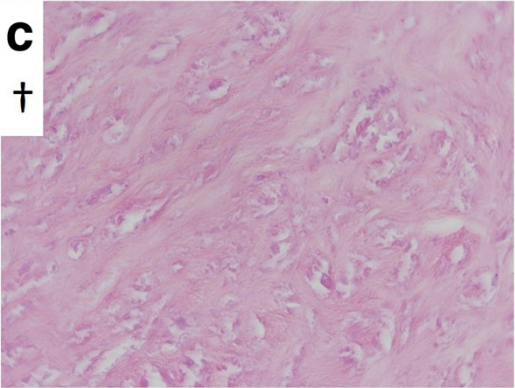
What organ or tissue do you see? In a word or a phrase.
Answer: Fibrous tissue.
